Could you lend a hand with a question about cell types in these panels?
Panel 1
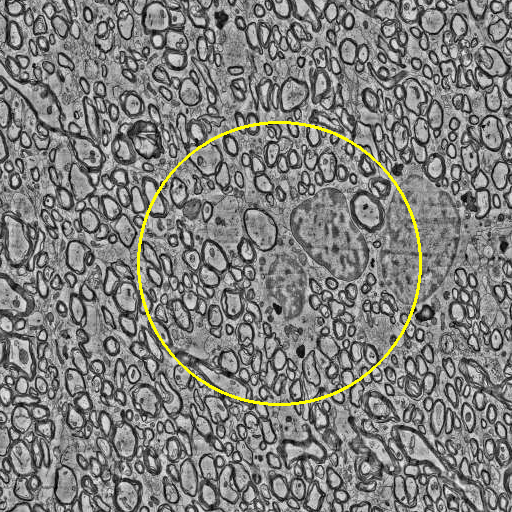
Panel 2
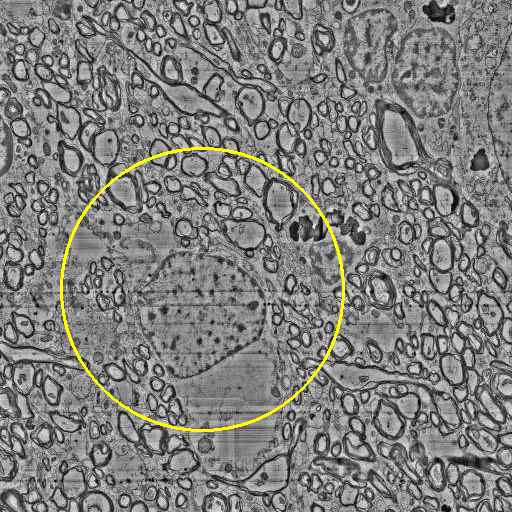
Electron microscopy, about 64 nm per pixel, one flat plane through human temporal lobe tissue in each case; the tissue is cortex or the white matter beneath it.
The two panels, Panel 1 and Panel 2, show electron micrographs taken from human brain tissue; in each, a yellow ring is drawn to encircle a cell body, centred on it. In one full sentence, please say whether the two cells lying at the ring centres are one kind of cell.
No, the cells at the ring centres in the two panels are two kinds of cell.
